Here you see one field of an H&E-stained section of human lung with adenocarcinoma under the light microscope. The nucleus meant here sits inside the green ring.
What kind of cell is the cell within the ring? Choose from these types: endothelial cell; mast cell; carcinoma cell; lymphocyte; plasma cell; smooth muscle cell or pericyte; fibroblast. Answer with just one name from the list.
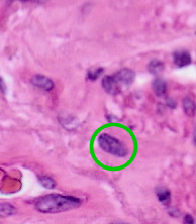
mast cell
